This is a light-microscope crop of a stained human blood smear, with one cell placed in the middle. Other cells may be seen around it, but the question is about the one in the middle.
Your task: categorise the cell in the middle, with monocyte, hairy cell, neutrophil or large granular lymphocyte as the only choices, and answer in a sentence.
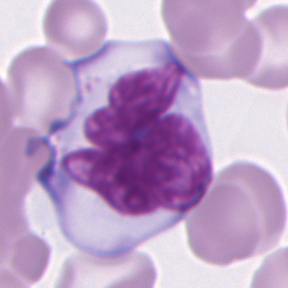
In the center of this field lies a large granular lymphocyte.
